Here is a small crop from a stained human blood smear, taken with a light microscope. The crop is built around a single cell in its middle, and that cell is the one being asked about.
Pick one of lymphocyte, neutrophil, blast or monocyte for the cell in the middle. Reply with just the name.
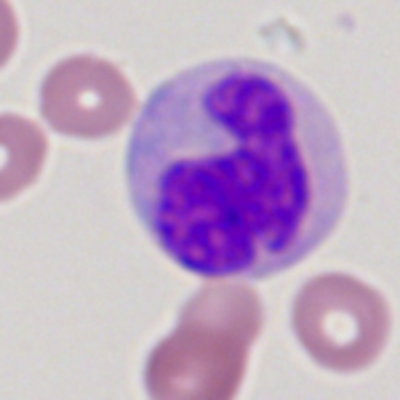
monocyte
